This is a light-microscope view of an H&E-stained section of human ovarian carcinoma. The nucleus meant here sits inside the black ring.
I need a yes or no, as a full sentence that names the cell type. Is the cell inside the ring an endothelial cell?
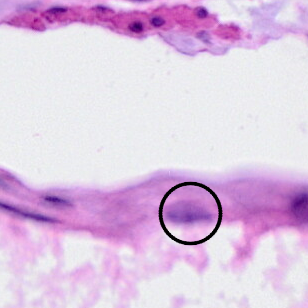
Yes, it is as an endothelial cell that the cell inside the ring is classified.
